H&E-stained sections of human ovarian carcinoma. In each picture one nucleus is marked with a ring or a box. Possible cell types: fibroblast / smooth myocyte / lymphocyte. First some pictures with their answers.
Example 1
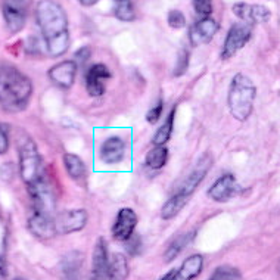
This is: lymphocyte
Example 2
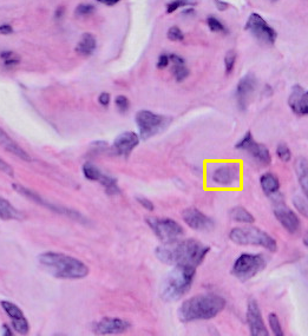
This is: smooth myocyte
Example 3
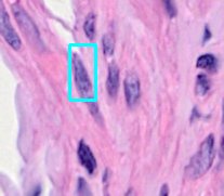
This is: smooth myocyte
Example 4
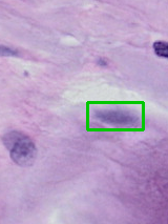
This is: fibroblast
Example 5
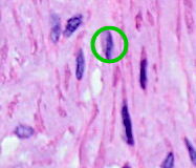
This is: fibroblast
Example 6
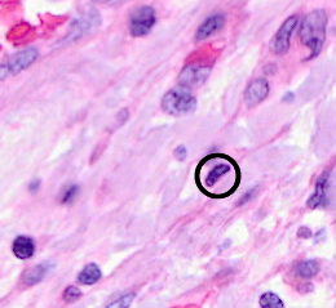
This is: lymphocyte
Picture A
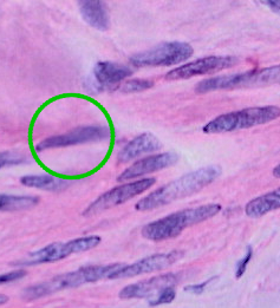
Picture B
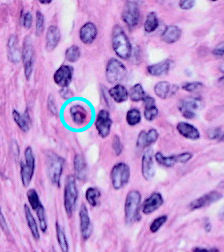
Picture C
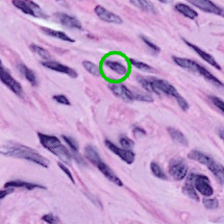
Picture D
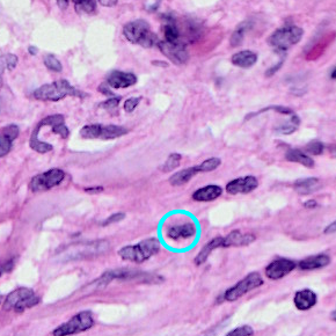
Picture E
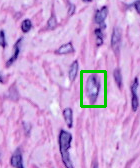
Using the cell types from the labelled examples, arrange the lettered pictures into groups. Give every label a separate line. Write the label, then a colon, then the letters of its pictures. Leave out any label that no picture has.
fibroblast: E
smooth myocyte: A, C
lymphocyte: B, D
